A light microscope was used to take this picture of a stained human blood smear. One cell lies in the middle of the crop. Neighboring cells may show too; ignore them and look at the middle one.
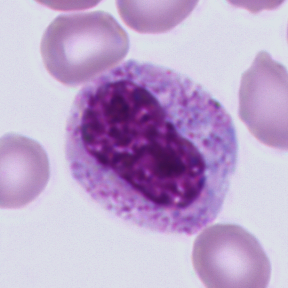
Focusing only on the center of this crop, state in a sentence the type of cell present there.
In the middle of this smear crop is a metamyelocyte.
